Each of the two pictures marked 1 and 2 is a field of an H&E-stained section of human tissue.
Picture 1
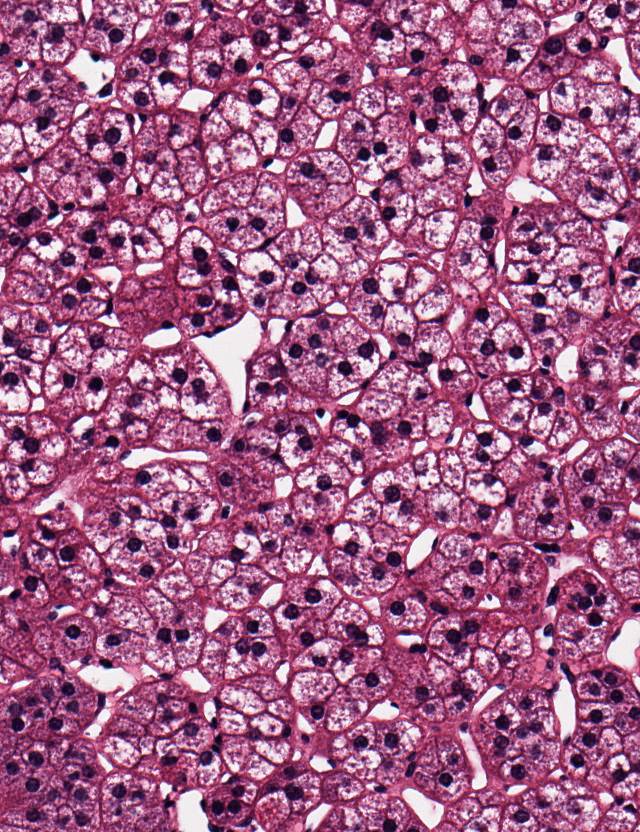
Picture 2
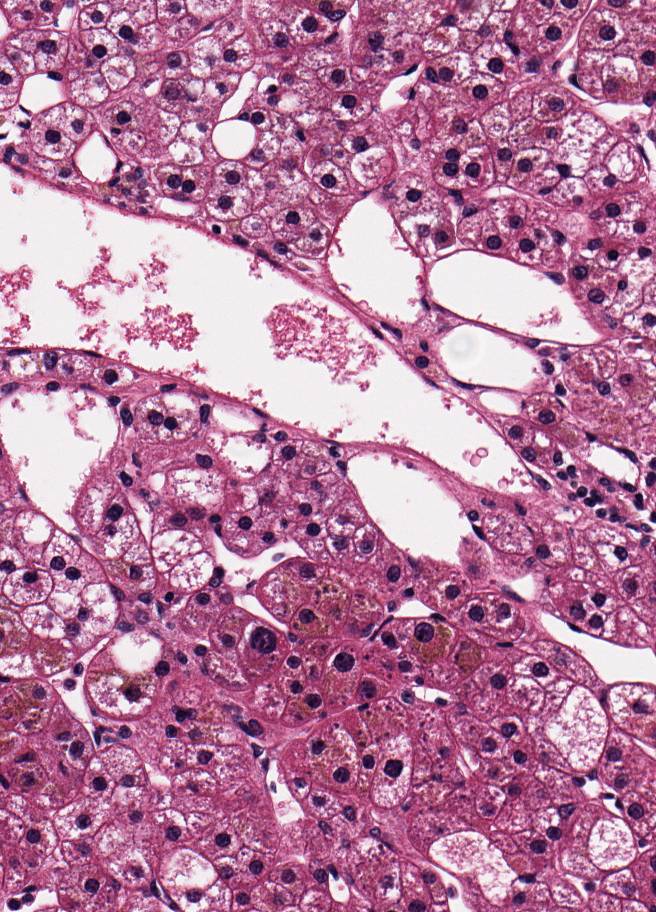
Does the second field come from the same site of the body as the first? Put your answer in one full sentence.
Yes, both come from the adrenal gland.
